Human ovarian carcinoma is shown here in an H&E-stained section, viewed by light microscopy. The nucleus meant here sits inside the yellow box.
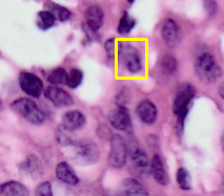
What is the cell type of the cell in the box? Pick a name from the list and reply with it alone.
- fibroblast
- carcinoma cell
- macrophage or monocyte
macrophage or monocyte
